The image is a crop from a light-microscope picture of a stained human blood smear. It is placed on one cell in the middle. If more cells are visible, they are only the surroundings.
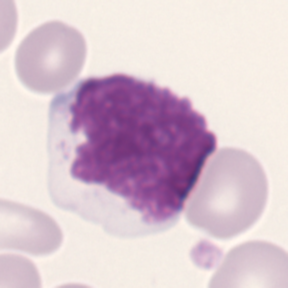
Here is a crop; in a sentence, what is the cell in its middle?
The cell shown in the center of this light-microscope crop is a large granular lymphocyte.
